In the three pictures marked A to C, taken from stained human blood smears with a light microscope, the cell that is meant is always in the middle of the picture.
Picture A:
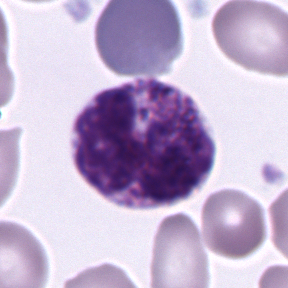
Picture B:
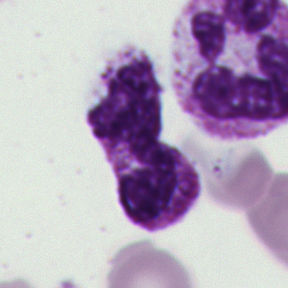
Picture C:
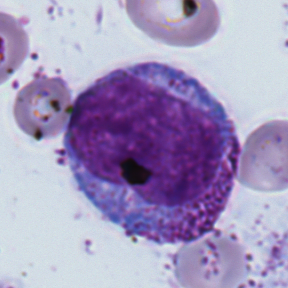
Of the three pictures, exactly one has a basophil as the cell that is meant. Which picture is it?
A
